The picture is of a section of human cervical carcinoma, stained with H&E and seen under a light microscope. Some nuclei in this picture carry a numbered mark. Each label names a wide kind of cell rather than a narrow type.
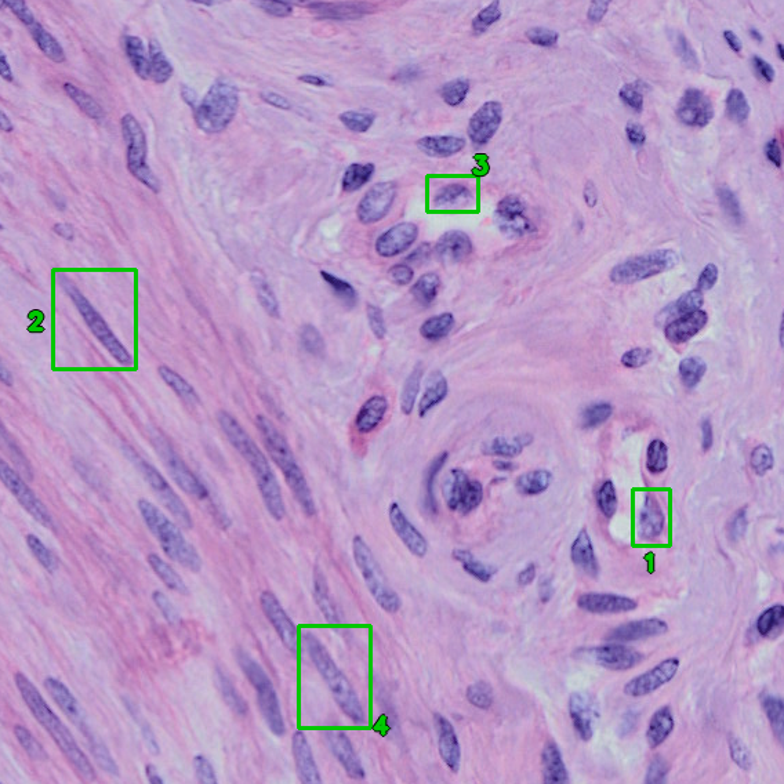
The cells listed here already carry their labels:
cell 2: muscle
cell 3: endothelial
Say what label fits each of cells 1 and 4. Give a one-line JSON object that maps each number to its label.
{"1": "endothelial", "4": "muscle"}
